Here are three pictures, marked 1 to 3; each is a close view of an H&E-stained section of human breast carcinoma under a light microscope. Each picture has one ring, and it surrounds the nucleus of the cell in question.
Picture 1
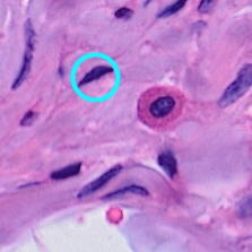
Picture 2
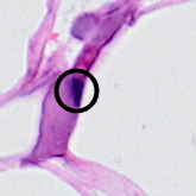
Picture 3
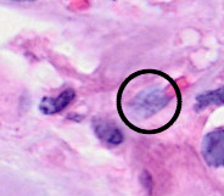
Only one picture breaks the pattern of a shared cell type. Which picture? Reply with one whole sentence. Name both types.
Picture 3 differs, because its cell is an endothelial cell and the rest are fibroblasts.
